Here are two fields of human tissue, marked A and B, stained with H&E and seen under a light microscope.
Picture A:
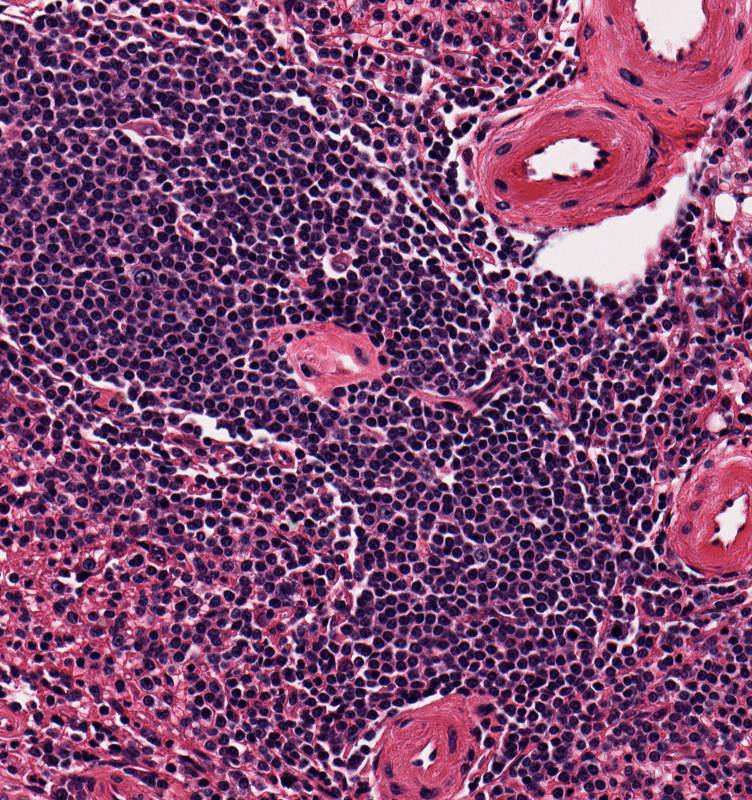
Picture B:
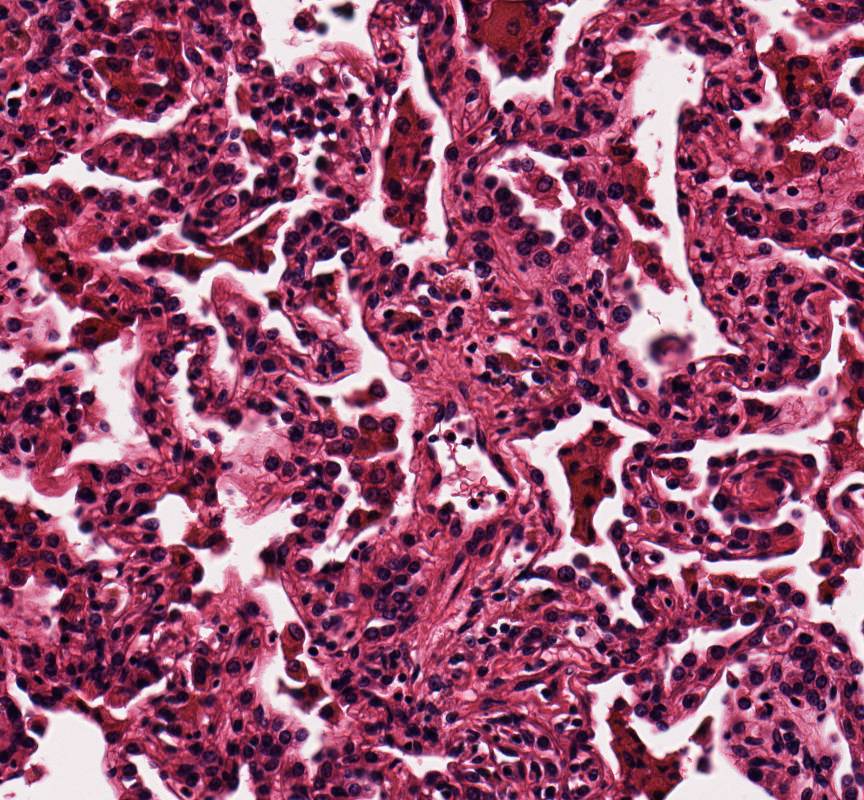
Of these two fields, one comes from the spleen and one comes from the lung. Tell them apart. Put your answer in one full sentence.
Picture A comes from the spleen; picture B comes from the lung.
